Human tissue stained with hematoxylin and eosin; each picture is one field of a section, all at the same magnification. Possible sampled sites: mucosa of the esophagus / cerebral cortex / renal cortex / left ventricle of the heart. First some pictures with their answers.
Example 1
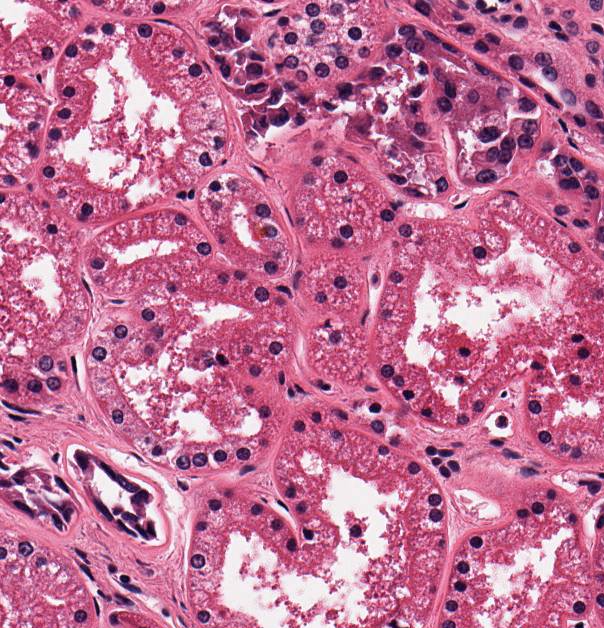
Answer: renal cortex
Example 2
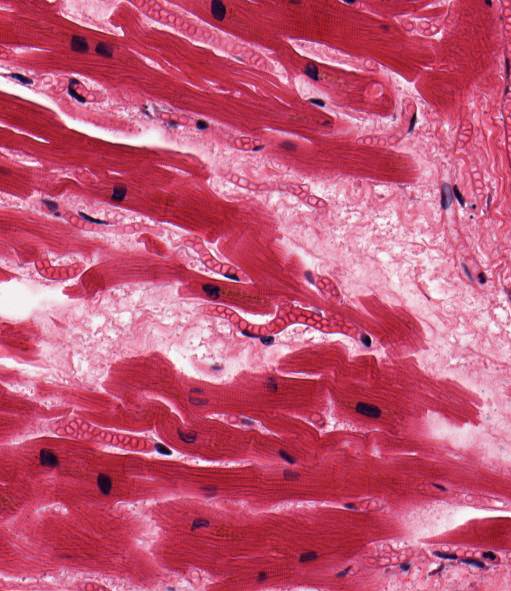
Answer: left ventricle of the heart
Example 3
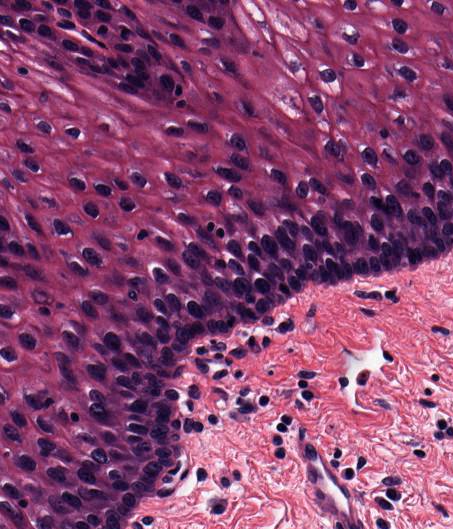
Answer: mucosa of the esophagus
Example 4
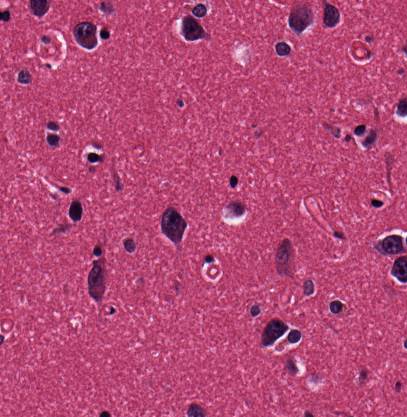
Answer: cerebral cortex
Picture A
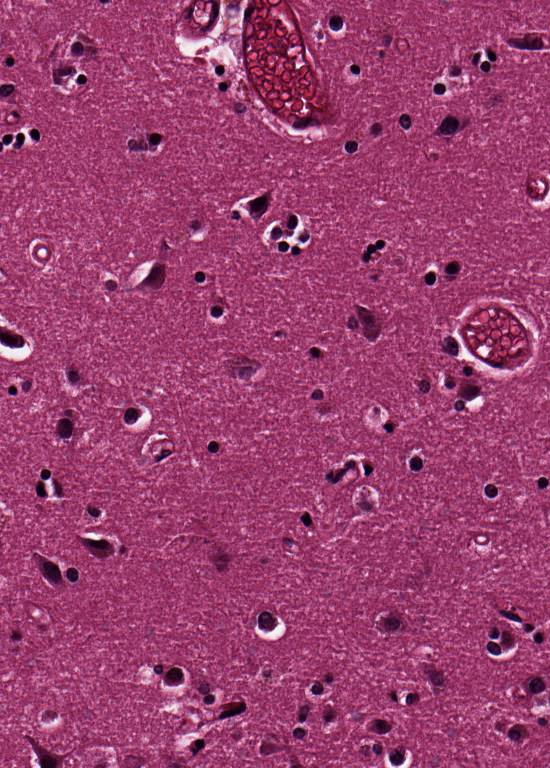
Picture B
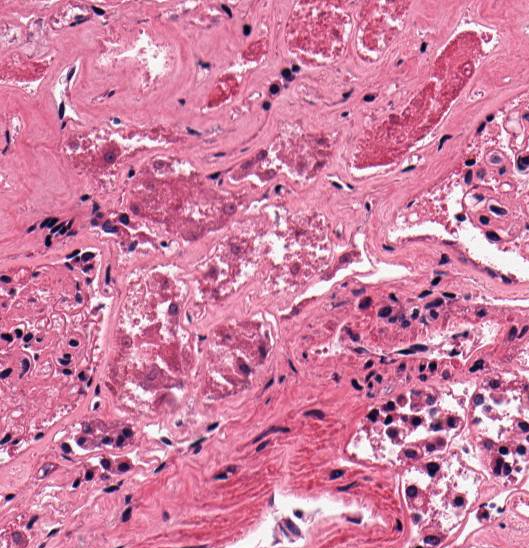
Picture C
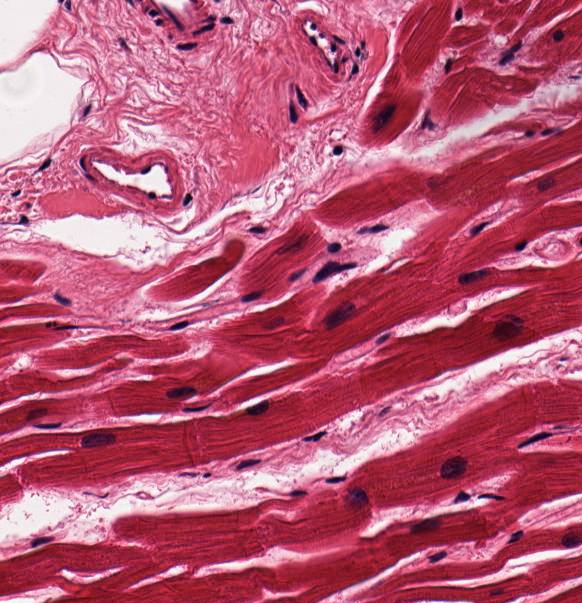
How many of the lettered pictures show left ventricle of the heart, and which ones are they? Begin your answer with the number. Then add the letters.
Count: 1 (C)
